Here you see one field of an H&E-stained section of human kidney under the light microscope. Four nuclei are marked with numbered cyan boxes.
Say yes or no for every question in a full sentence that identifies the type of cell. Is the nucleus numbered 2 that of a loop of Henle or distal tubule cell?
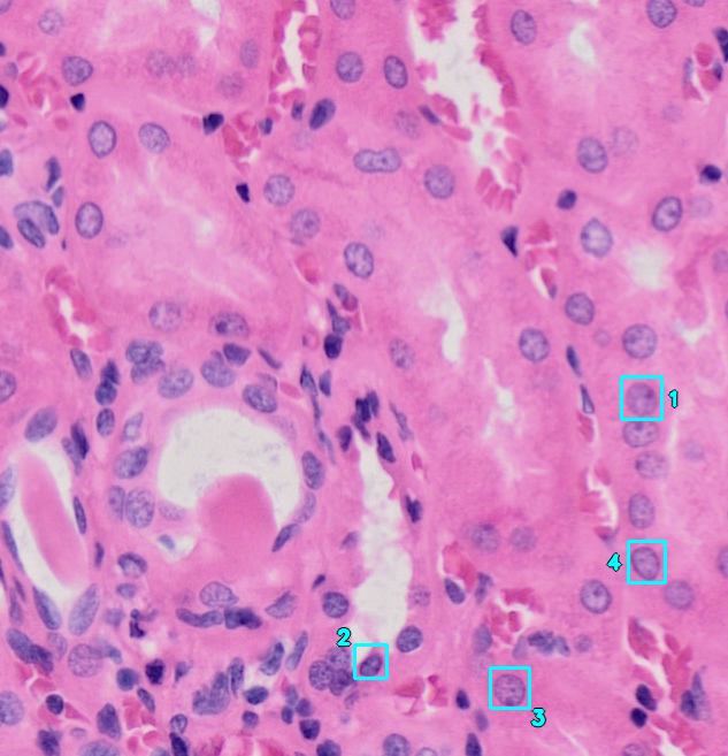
Yes, the cell carrying label 2 is a loop of Henle or distal tubule cell.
